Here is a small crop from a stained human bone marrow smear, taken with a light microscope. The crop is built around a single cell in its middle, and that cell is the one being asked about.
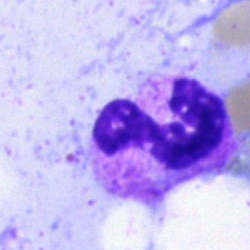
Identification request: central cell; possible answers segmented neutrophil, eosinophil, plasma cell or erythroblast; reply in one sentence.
The cell at the middle of the crop is recognized as a segmented neutrophil.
